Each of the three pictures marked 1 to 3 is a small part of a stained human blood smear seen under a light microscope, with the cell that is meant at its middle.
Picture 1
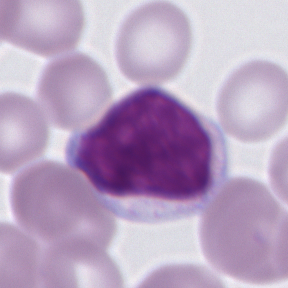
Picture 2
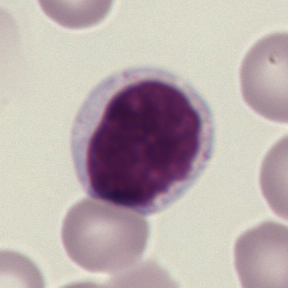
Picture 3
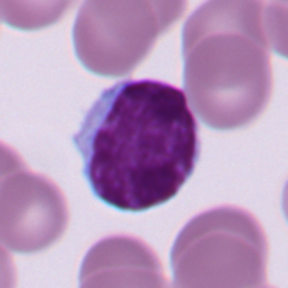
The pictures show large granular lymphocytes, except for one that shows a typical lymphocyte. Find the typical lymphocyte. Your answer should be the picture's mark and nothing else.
3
